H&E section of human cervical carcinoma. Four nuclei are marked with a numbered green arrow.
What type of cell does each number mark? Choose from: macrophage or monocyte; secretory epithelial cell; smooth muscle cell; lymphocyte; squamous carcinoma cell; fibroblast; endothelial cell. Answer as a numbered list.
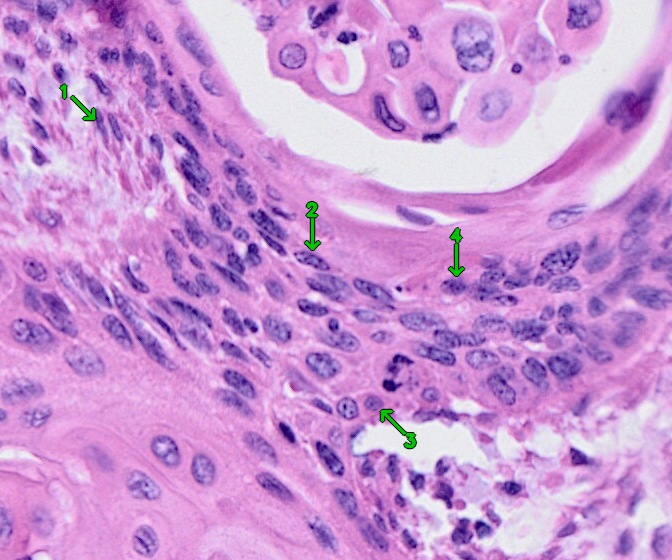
1. fibroblast
2. squamous carcinoma cell
3. squamous carcinoma cell
4. squamous carcinoma cell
